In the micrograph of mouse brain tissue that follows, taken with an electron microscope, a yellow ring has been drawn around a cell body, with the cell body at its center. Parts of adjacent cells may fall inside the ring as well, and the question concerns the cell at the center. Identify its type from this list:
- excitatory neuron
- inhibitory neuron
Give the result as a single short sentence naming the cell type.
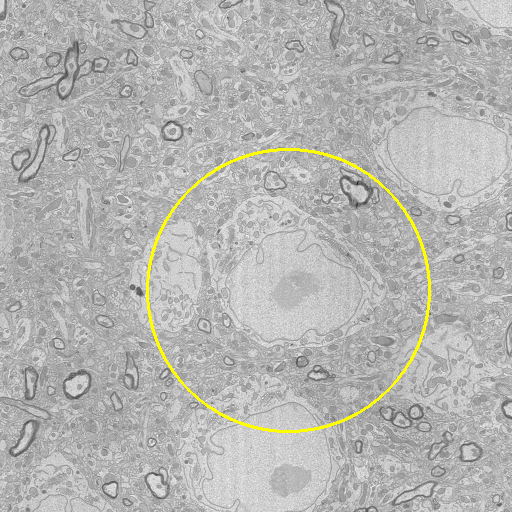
The ring is centered on an inhibitory neuron.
